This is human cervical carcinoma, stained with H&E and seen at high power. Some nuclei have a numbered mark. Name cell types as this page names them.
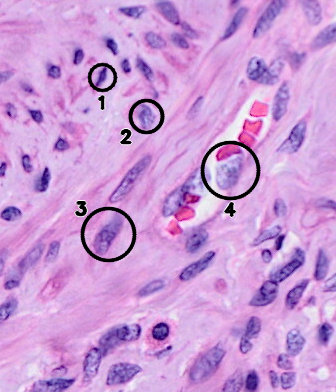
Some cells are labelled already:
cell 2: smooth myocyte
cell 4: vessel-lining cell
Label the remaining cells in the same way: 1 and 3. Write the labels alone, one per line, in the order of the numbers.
smooth myocyte
smooth myocyte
